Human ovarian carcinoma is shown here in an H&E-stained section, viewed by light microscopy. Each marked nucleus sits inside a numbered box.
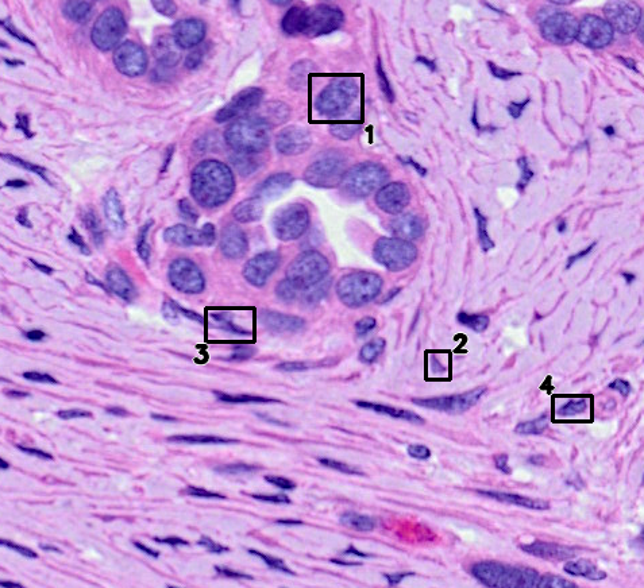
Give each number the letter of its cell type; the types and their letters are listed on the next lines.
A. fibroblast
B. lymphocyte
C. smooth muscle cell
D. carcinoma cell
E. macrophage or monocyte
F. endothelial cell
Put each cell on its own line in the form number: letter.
1: D
2: A
3: A
4: A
